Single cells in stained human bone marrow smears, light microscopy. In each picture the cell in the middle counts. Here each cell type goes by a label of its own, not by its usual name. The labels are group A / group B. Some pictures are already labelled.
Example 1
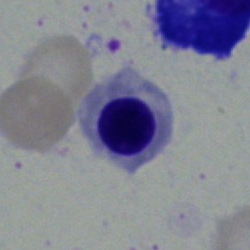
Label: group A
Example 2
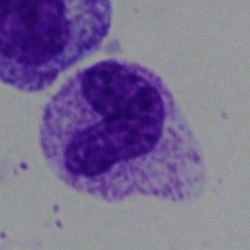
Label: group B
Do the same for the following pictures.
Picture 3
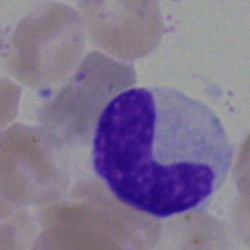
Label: group B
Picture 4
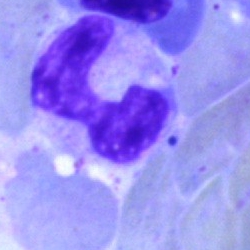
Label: group B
